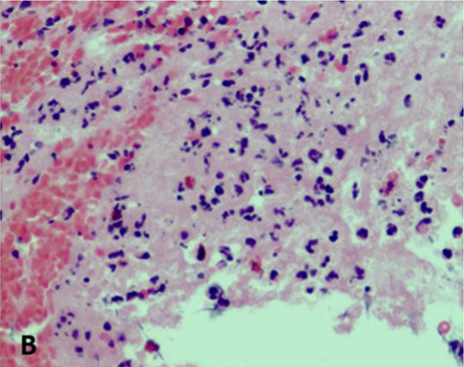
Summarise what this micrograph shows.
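This is a field of a blood clot in which pale pink, finely fibrillar material fills most of the view. Scattered through it are small cells with dark purple, lobed or segmented nuclei, the look of neutrophils, and they are moderately numerous rather than crowded. Along the left side lies a band of packed red cells staining bright pink-red. The pale fibrinous matrix with its sprinkling of white cells makes this a fibrin-predominant region of a clot.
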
